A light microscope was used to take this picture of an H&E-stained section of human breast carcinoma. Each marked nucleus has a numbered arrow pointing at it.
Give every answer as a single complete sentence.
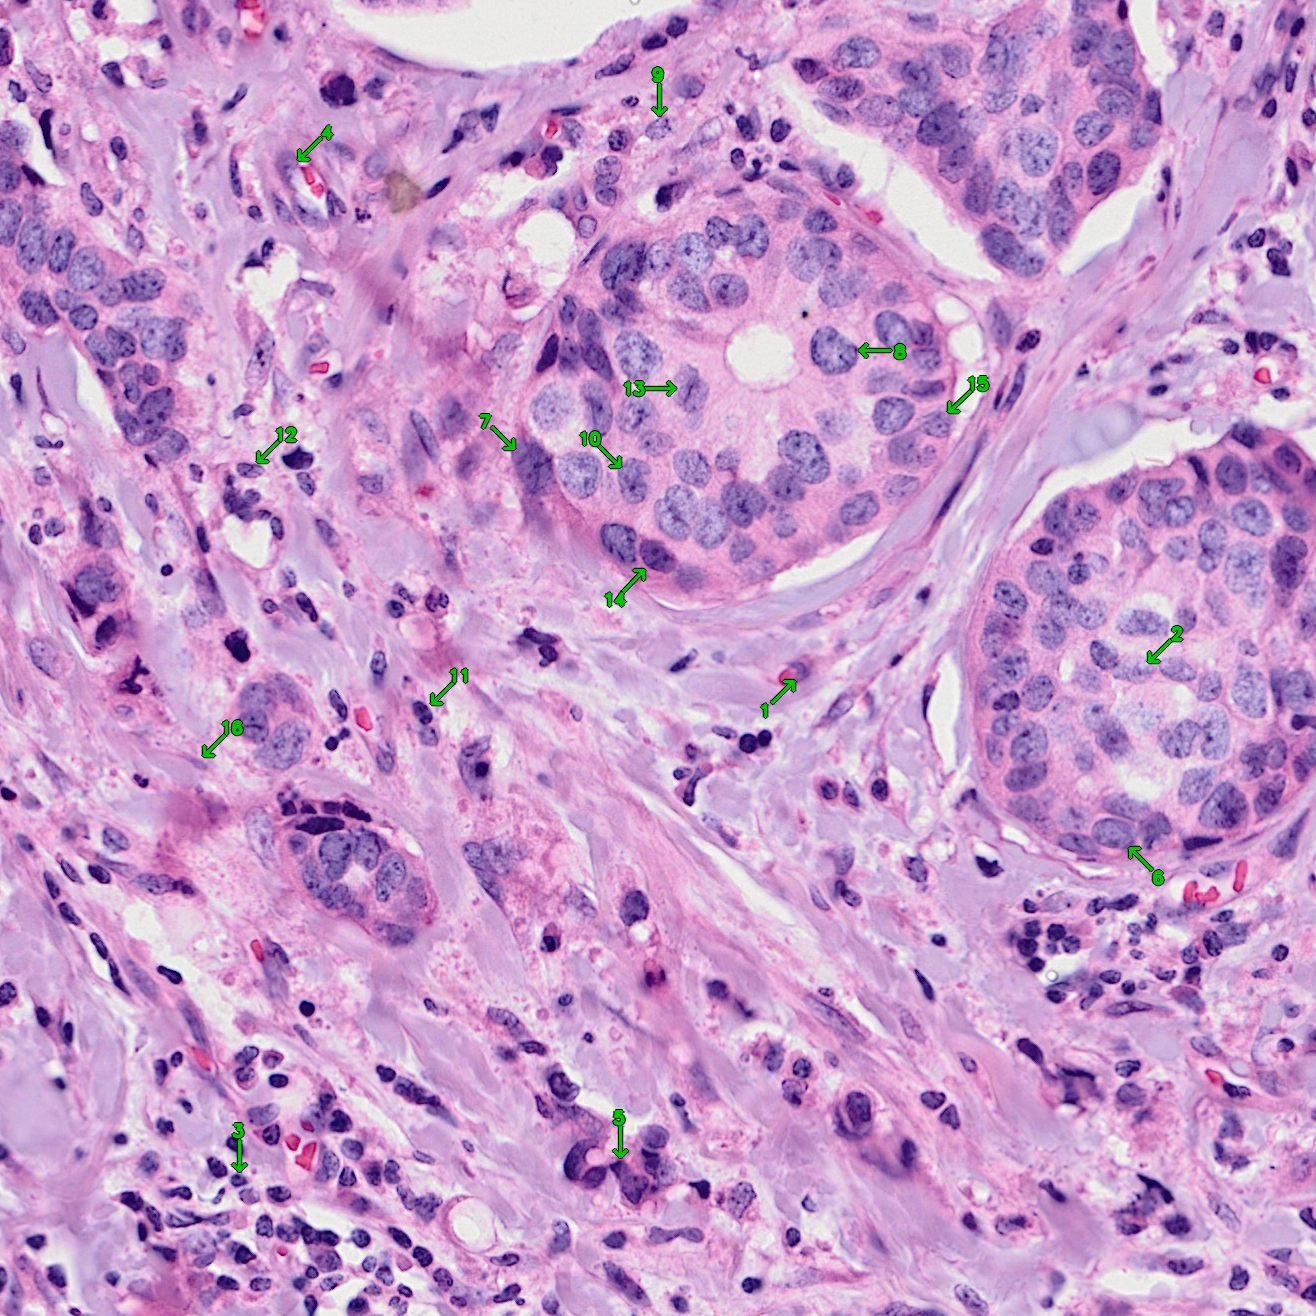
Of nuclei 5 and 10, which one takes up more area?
At about 4 times the area of nucleus 5, nucleus 10 is the larger of the two.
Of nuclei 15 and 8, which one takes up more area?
Of the two, number 8 is bigger and takes up about 2 times the area of number 15.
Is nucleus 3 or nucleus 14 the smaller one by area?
It is nucleus 3; nucleus 14 has about 3 times its area.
